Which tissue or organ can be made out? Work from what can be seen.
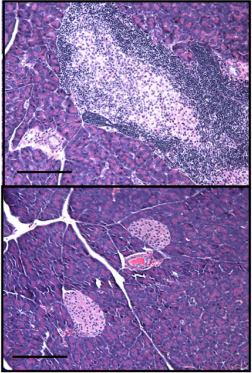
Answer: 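Pale pink round clusters of cells sit within darker purple glandular tissue. The surrounding tissue is made of packed acini with purple cytoplasm. The answer: pancreas islets.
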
